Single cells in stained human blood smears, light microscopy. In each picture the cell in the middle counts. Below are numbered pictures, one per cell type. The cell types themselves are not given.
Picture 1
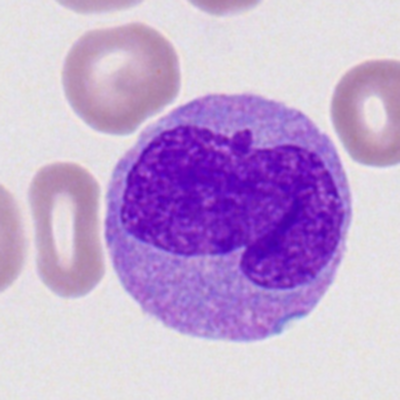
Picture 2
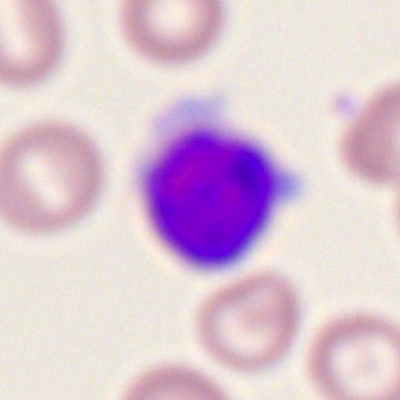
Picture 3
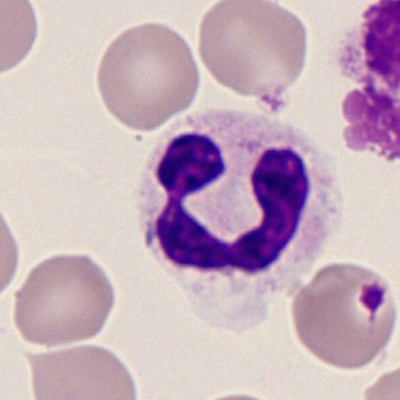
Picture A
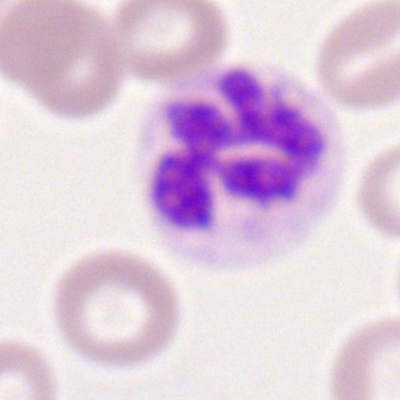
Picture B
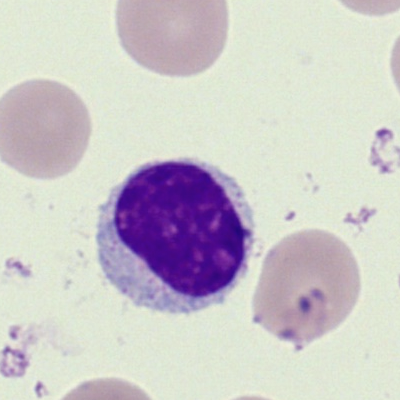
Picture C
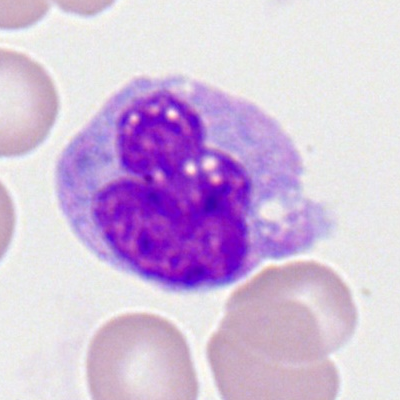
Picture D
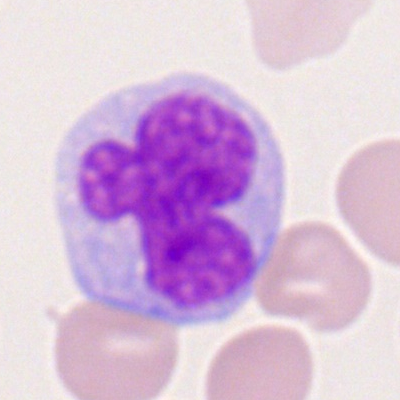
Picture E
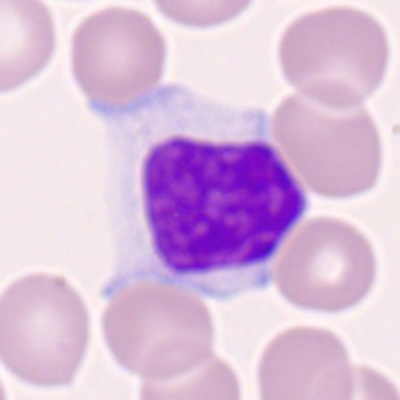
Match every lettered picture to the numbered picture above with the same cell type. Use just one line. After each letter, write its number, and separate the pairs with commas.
A 3, B 2, C 1, D 1, E 2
